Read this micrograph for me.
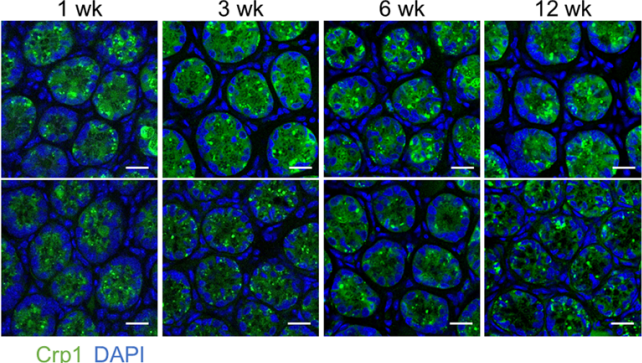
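These are eight fields of small intestine cut across, each showing several round, closely packed epithelial profiles, and the green fills the Paneth cells inside them. Each profile is ringed by a single layer of blue oval nuclei at its outer edge, and the inner cytoplasm of these cells is crowded with bright green granules. Thin strands of tissue with scattered blue nuclei separate neighbouring profiles. In the lower row the green generally looks fainter and patchier than in the upper row, while the rings of cells themselves keep a similar size and arrangement.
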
